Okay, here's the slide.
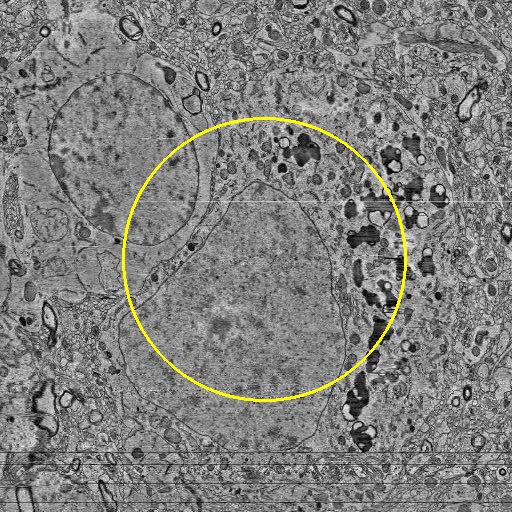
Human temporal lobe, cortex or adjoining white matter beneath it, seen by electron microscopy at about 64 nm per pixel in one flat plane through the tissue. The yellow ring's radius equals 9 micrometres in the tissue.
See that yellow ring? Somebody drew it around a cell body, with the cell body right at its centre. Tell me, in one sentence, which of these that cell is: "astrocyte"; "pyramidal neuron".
The cell in the middle of the ring is a pyramidal neuron.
